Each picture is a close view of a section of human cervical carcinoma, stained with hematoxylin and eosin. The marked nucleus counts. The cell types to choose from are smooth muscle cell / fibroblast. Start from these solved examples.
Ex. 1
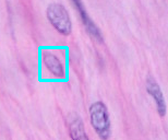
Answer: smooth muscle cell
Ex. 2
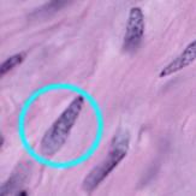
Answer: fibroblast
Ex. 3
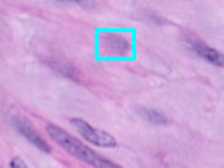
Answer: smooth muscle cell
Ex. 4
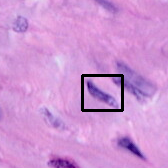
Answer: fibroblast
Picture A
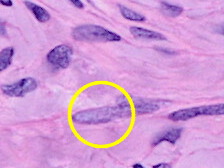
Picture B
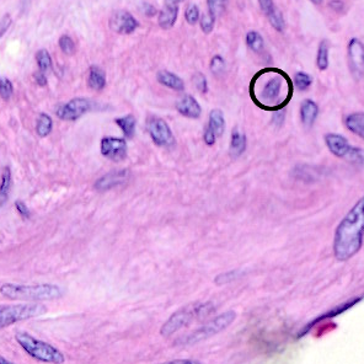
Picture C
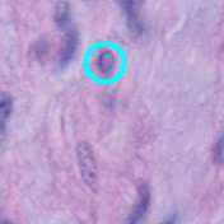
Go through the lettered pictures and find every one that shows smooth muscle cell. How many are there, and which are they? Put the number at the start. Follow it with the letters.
3: A, B, C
